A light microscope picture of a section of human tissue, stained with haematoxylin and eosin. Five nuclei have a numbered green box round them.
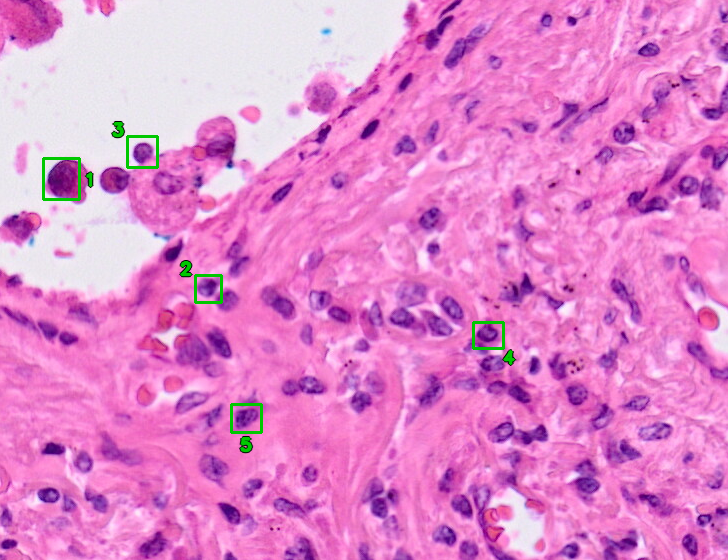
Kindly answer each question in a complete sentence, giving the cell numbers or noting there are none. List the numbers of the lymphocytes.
The numbers 2 and 3 mark cells that are lymphocytes.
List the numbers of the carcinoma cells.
Of the cells carrying numbers, just cell 1 is a carcinoma cell.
